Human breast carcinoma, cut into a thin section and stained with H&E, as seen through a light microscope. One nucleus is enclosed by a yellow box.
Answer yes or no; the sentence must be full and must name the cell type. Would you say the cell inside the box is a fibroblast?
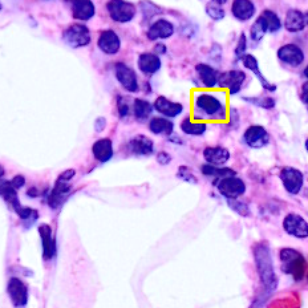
No, the cell inside the box is not to be called a fibroblast; it is a lymphocyte.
